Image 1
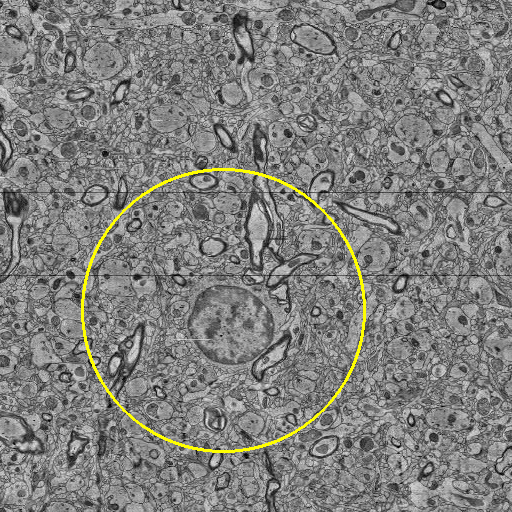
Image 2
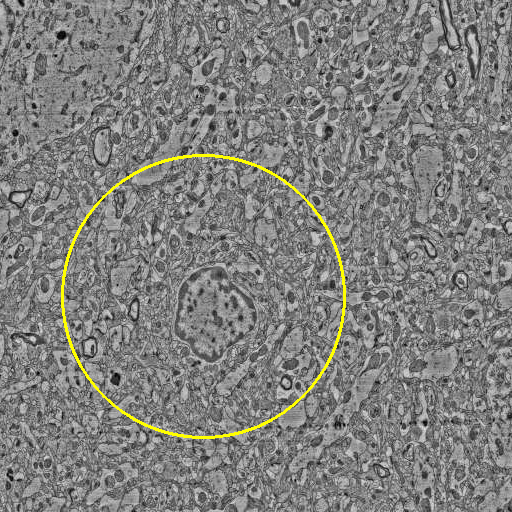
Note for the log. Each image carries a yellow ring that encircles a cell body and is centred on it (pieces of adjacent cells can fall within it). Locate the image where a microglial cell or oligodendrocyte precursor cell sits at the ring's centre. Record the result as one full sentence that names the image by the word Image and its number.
Image 2 has the wanted cell sitting at the centre of its ring.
